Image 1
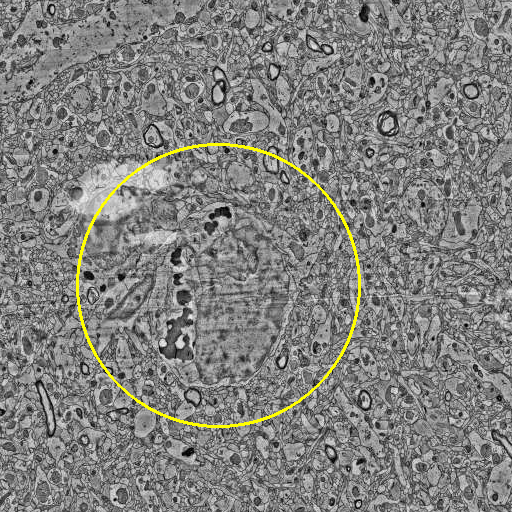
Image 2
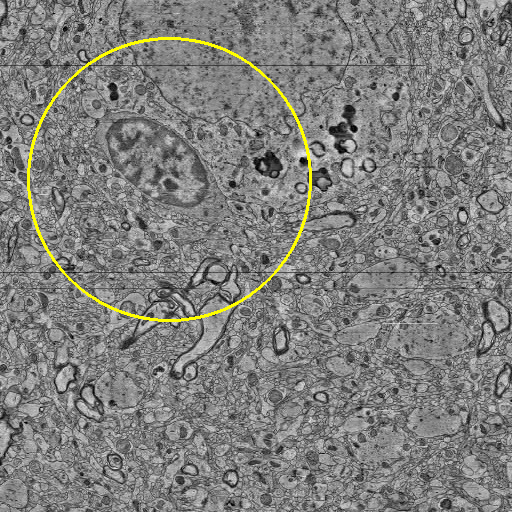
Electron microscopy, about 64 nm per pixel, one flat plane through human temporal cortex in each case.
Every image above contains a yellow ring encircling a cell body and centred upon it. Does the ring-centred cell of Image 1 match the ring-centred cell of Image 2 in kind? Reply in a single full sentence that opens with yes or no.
No, the cell at the ring's centre in Image 1 is a separate kind from that in Image 2.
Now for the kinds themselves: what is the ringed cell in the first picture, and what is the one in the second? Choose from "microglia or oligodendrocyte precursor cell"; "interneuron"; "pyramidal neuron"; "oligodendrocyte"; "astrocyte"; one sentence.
Here the first cell is an interneuron and the second cell is an oligodendrocyte.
